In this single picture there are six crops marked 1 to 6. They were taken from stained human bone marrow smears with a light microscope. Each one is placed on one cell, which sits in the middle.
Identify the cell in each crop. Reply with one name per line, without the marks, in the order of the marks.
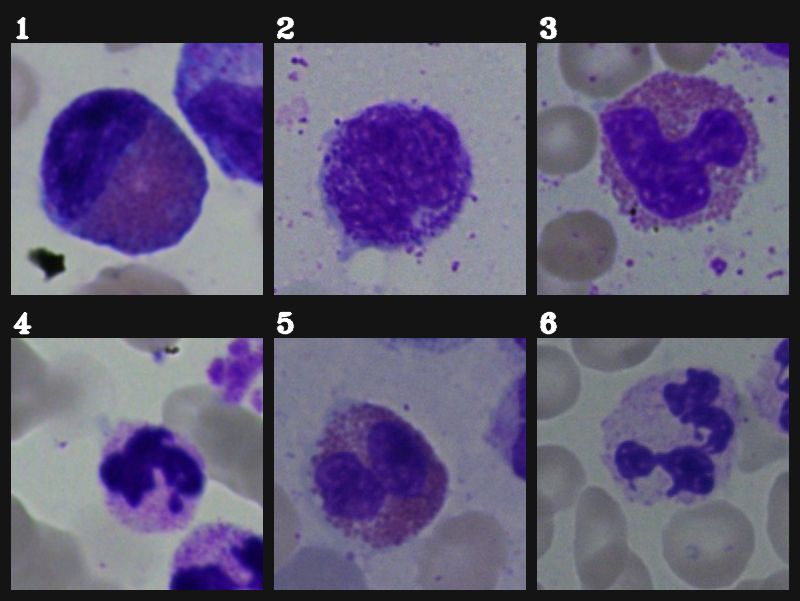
eosinophil
myelocyte
eosinophil
segmented neutrophil
eosinophil
segmented neutrophil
